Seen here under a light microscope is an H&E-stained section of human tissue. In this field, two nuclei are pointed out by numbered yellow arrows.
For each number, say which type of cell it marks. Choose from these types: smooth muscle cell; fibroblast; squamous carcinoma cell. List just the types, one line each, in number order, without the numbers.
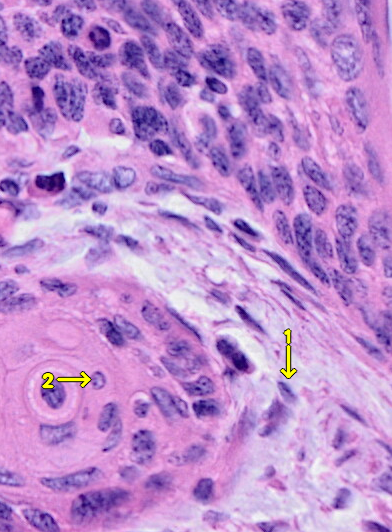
fibroblast
squamous carcinoma cell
